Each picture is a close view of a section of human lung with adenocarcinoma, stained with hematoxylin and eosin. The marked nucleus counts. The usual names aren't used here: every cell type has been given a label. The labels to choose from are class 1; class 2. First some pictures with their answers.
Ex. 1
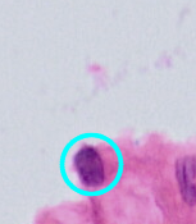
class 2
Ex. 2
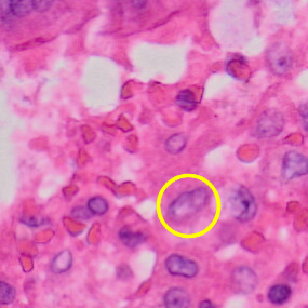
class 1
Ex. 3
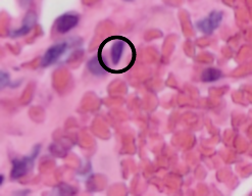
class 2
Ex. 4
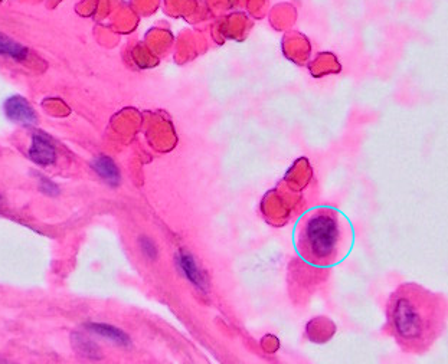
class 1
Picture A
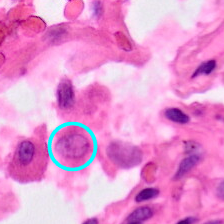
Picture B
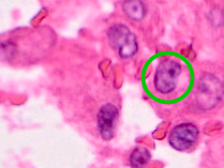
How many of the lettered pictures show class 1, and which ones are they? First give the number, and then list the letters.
2, namely A, B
